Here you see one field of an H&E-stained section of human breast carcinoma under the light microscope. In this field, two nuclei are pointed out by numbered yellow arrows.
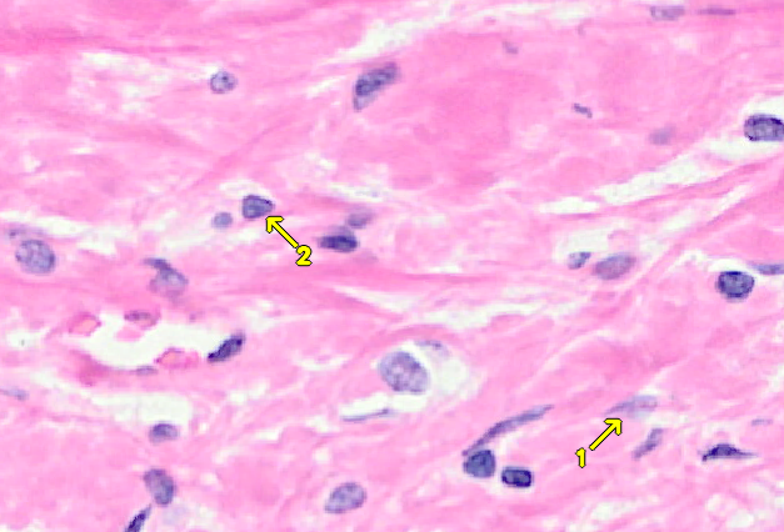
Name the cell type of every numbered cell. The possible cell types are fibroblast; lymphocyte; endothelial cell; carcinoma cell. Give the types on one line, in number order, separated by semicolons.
fibroblast; lymphocyte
